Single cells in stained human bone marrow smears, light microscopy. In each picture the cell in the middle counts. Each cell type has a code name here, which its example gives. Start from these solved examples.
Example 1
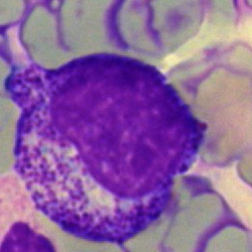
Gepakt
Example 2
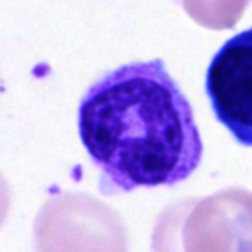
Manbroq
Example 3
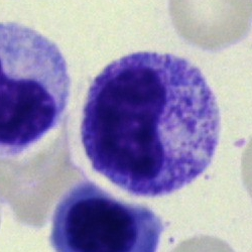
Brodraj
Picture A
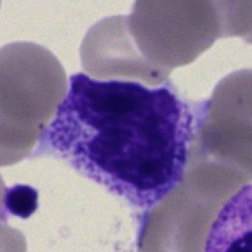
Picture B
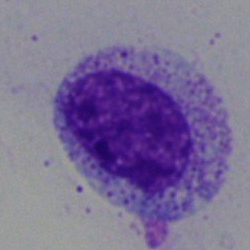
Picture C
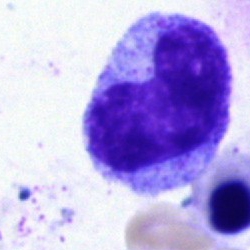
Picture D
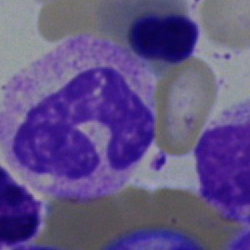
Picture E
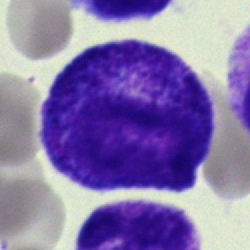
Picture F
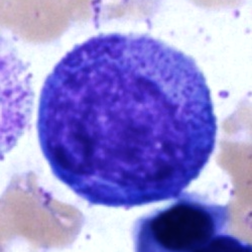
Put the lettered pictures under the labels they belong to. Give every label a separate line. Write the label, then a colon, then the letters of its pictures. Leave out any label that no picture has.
Gepakt: E, F
Manbroq: D
Brodraj: A, B, C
